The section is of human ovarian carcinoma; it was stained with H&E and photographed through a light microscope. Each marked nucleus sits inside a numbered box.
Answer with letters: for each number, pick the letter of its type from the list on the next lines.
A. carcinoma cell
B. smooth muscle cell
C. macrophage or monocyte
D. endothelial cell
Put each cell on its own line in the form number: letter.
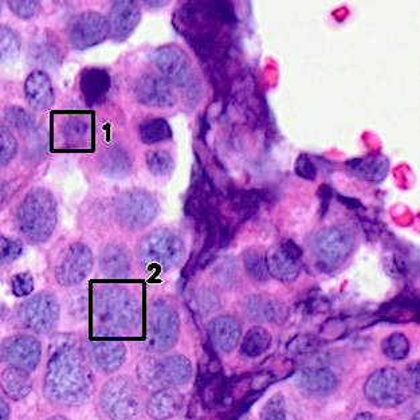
1: C
2: A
